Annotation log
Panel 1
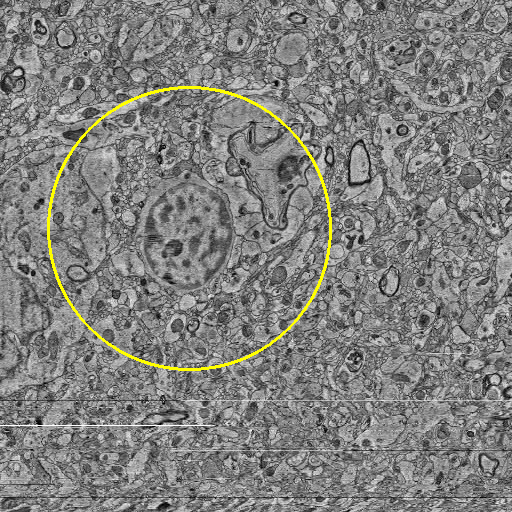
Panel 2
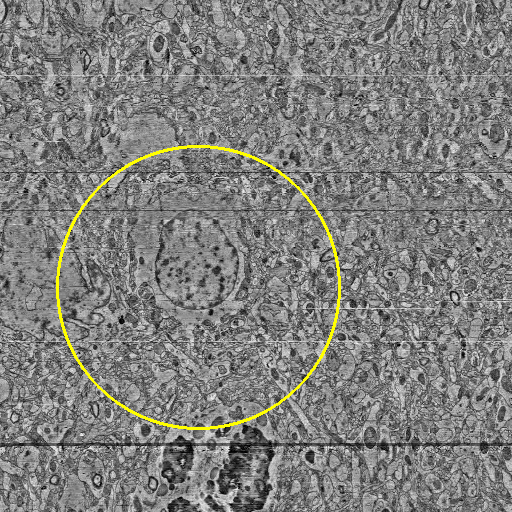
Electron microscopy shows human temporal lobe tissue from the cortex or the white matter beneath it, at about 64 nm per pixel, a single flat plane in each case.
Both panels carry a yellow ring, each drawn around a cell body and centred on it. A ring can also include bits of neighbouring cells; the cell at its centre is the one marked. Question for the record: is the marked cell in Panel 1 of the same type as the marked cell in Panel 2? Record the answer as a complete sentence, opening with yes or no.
No, the marked cells in Panel 1 and Panel 2 are of two types.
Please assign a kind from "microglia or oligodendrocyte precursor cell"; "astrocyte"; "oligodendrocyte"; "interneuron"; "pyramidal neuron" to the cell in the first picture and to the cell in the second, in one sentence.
In the first picture we have an oligodendrocyte, and in the second, an astrocyte.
